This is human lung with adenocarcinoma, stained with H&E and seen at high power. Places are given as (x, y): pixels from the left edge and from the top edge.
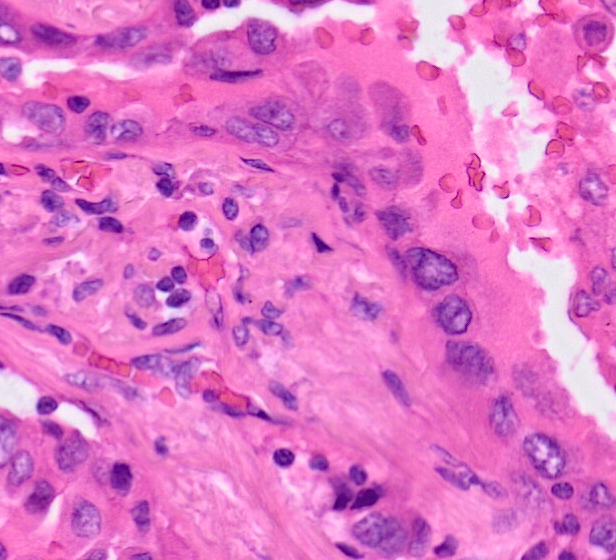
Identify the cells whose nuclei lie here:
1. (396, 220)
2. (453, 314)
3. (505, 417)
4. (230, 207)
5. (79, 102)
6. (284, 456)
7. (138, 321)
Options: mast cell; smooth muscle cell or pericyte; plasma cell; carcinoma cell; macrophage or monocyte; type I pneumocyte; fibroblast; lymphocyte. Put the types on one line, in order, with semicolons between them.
carcinoma cell; carcinoma cell; carcinoma cell; mast cell; lymphocyte; lymphocyte; lymphocyte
